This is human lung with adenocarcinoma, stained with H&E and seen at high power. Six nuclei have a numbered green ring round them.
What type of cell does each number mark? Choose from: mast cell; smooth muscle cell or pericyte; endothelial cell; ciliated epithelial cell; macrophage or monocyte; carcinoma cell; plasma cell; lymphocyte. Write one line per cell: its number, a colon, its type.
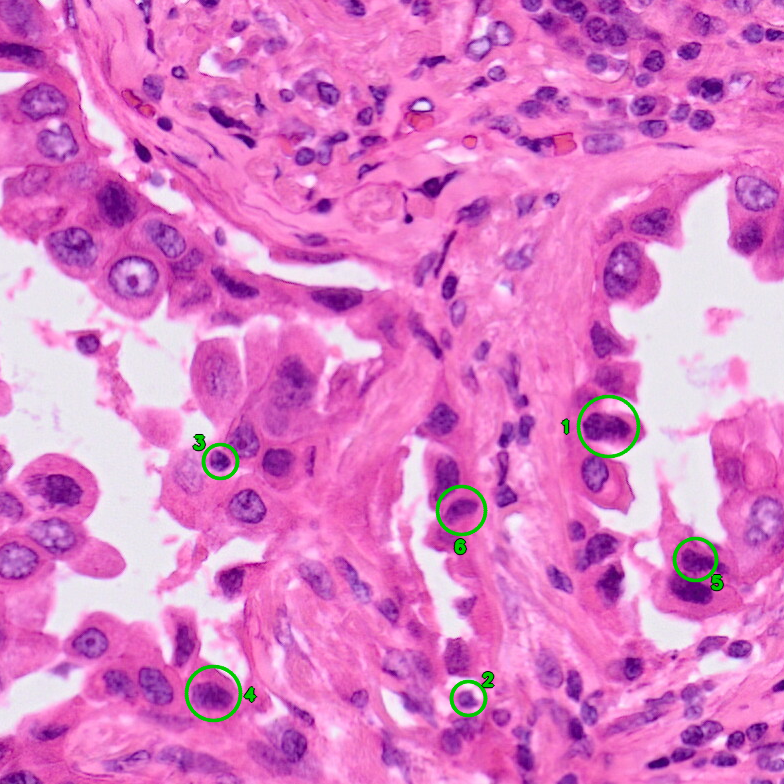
1: carcinoma cell
2: lymphocyte
3: lymphocyte
4: carcinoma cell
5: carcinoma cell
6: carcinoma cell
